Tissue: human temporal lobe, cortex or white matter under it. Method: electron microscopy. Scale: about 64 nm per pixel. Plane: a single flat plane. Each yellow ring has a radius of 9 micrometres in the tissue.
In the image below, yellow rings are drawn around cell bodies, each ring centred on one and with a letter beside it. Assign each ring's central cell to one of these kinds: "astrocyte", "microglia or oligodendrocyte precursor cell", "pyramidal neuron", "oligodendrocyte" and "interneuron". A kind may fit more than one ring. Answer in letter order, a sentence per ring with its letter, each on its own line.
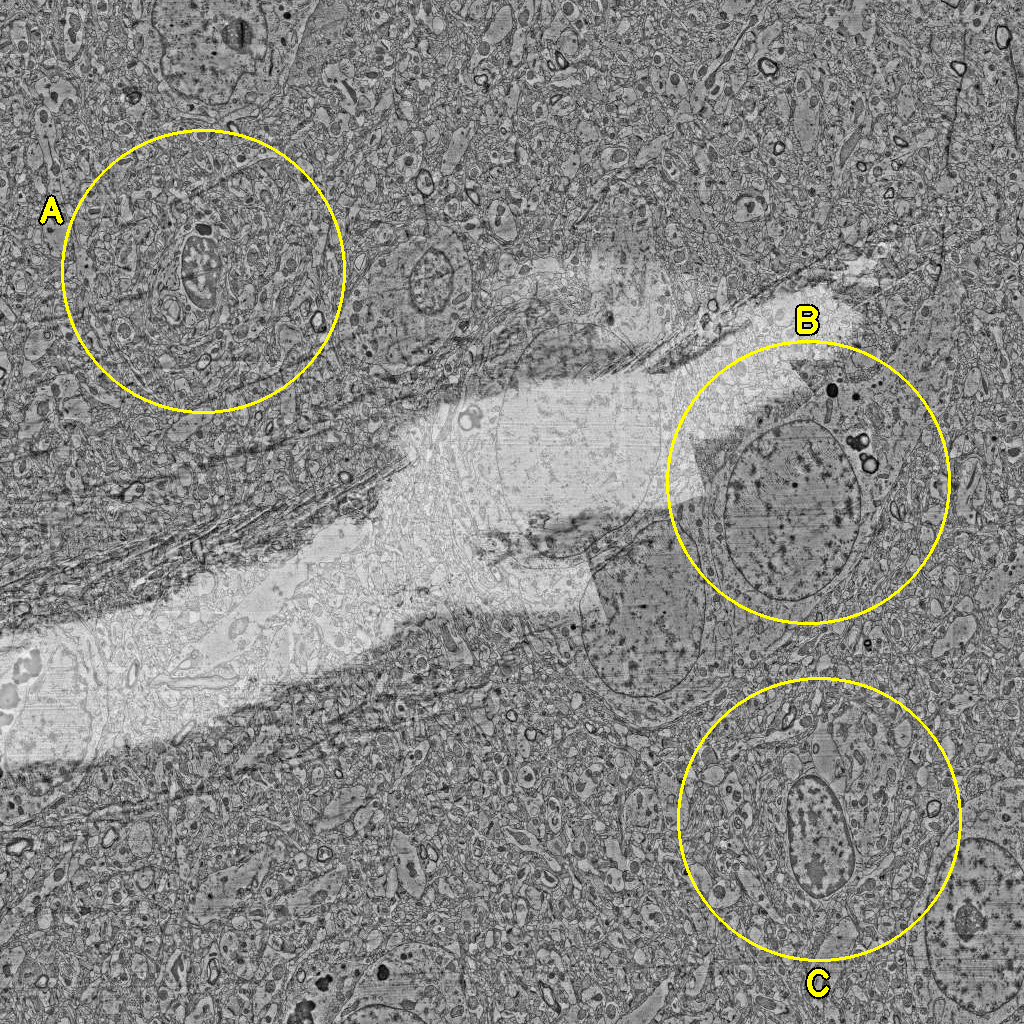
The central cell of ring A is a microglial cell or oligodendrocyte precursor cell.
The central cell of ring B is a pyramidal neuron.
The central cell of ring C is a microglial cell or oligodendrocyte precursor cell.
